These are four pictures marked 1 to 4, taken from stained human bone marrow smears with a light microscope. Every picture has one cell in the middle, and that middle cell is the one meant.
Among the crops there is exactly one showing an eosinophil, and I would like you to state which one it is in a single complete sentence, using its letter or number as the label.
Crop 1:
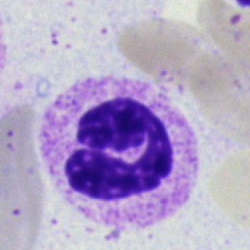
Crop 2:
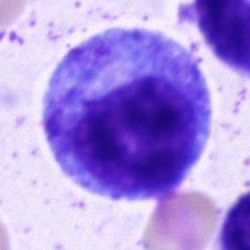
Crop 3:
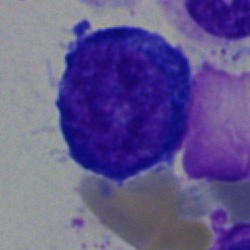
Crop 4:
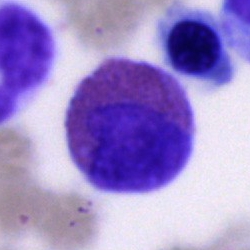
Only in crop 4 is an eosinophil shown.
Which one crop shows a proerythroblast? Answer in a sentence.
As for which crop shows a proerythroblast, it is crop 3.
